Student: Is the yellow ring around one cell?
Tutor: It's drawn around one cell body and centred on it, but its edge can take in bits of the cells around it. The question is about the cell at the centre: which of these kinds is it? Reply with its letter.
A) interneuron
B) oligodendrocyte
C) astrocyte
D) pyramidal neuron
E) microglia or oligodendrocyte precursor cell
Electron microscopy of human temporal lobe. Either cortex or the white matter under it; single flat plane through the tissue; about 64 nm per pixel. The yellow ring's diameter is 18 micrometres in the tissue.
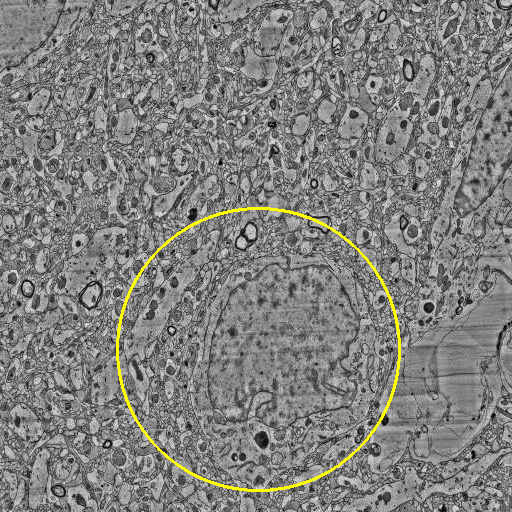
A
